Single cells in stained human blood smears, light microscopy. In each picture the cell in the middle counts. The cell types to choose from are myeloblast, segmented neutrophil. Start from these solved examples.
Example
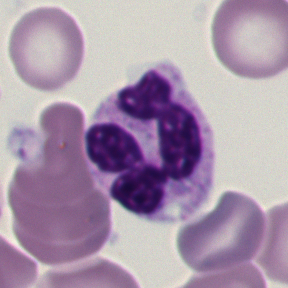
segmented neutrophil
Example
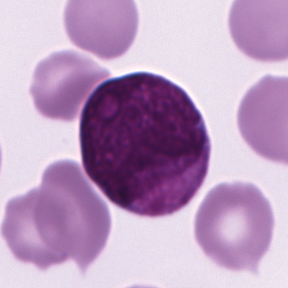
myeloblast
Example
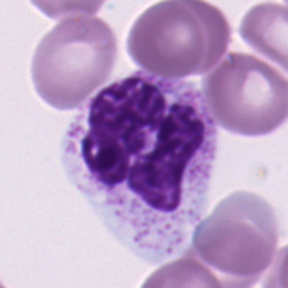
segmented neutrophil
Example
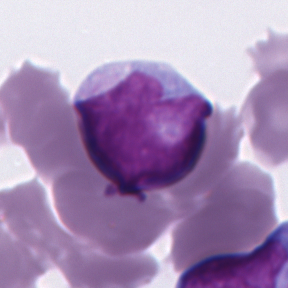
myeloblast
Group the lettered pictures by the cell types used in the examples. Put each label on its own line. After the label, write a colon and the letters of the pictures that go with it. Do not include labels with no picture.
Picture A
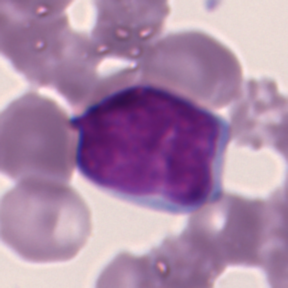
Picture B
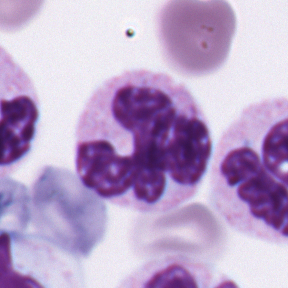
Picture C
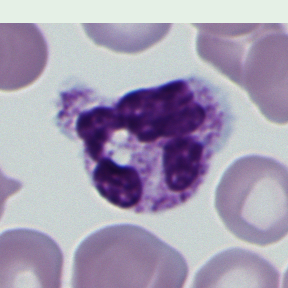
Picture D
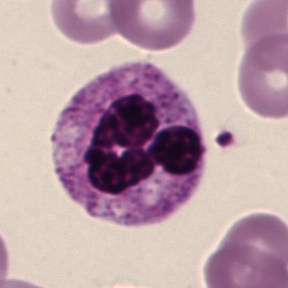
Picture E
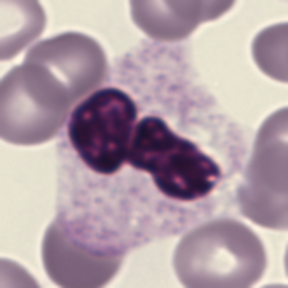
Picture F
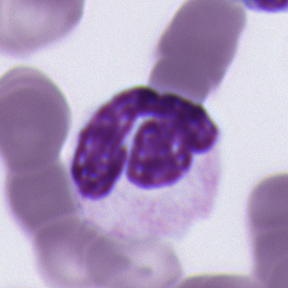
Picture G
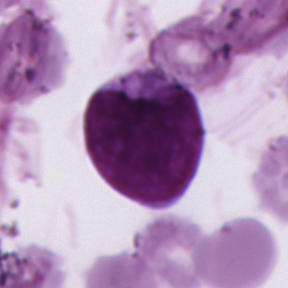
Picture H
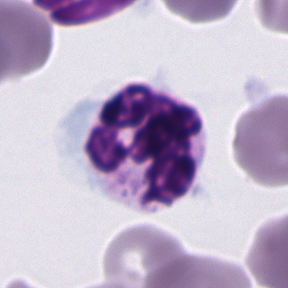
myeloblast: A, G
segmented neutrophil: B, C, D, E, F, H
